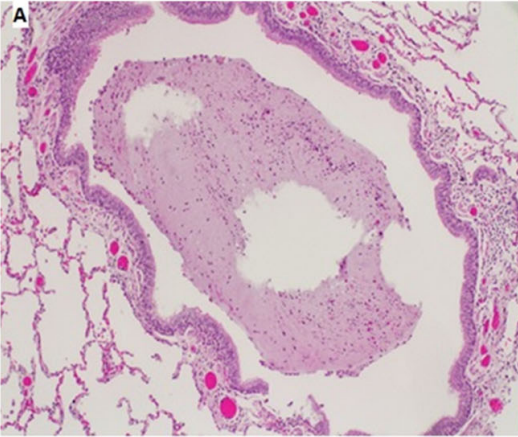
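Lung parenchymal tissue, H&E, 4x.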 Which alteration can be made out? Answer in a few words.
bronchiole dilatation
